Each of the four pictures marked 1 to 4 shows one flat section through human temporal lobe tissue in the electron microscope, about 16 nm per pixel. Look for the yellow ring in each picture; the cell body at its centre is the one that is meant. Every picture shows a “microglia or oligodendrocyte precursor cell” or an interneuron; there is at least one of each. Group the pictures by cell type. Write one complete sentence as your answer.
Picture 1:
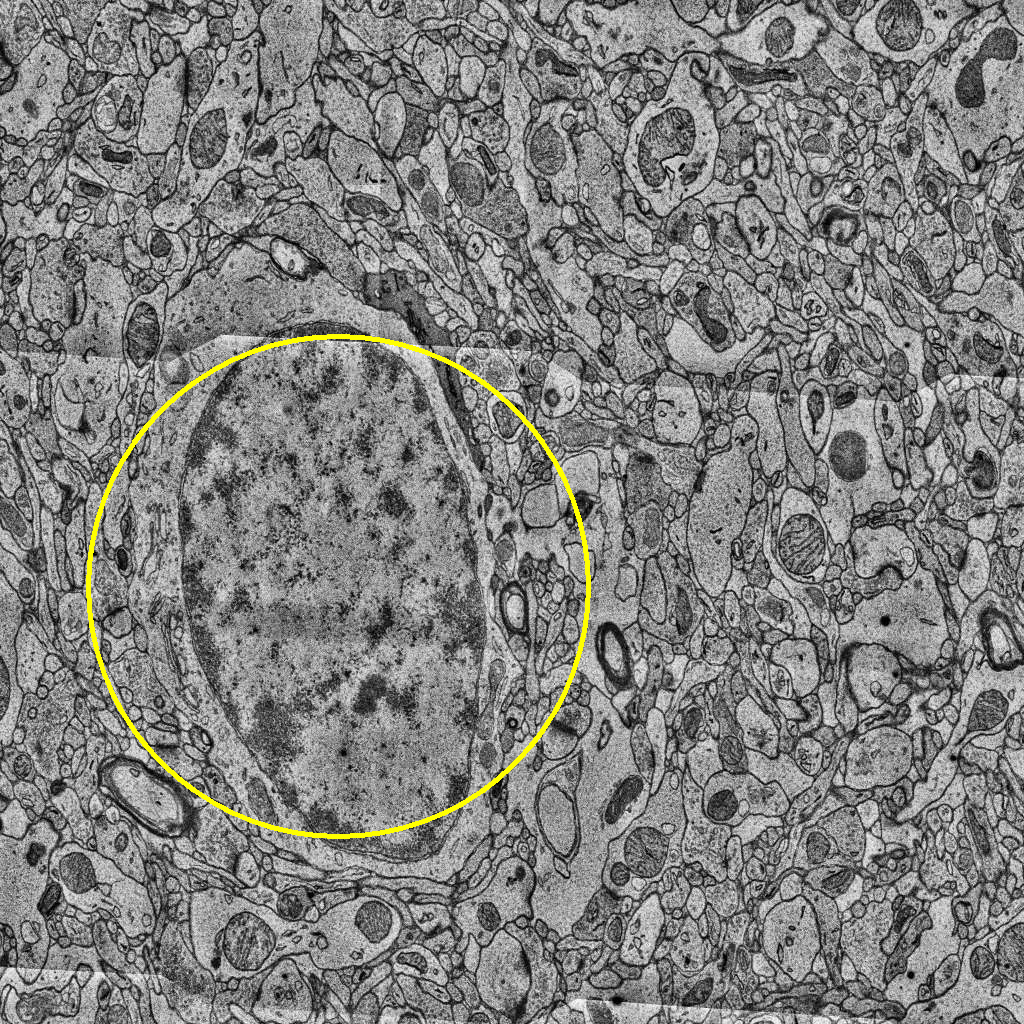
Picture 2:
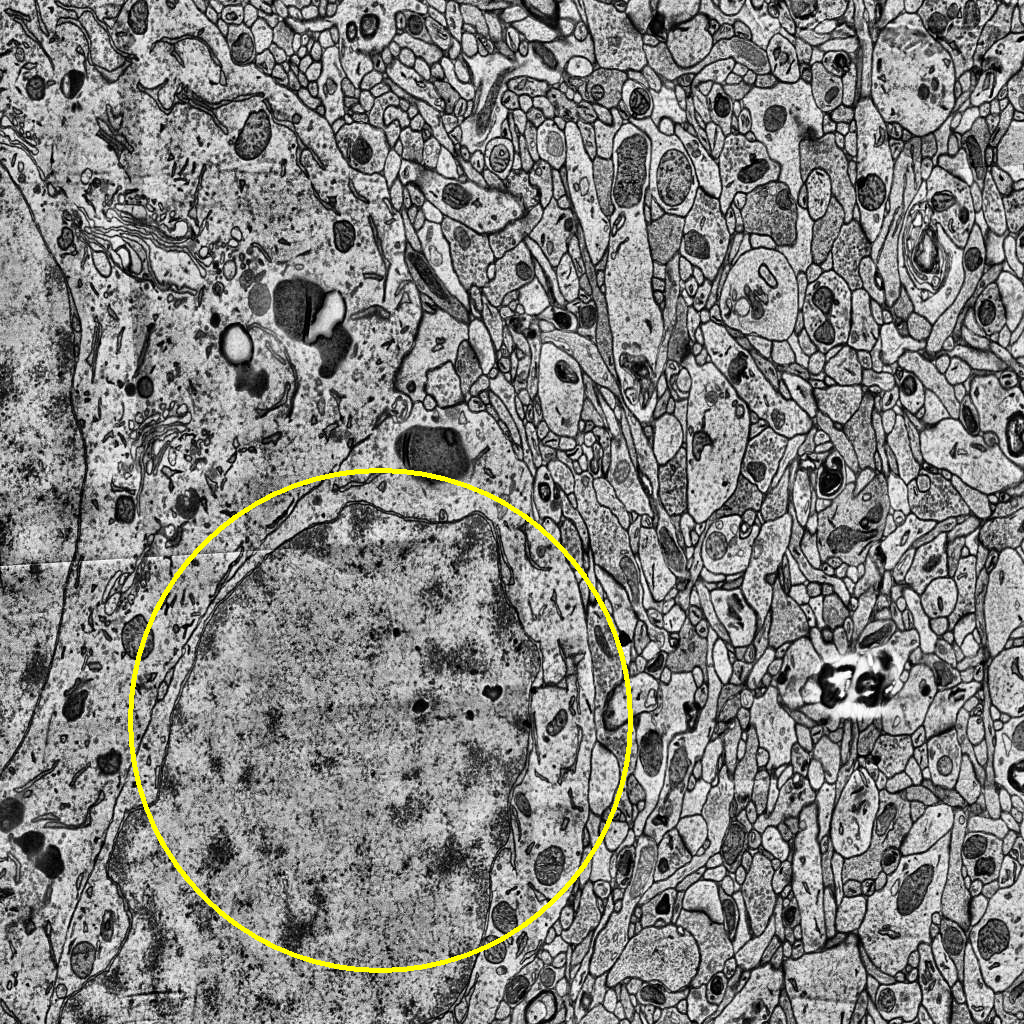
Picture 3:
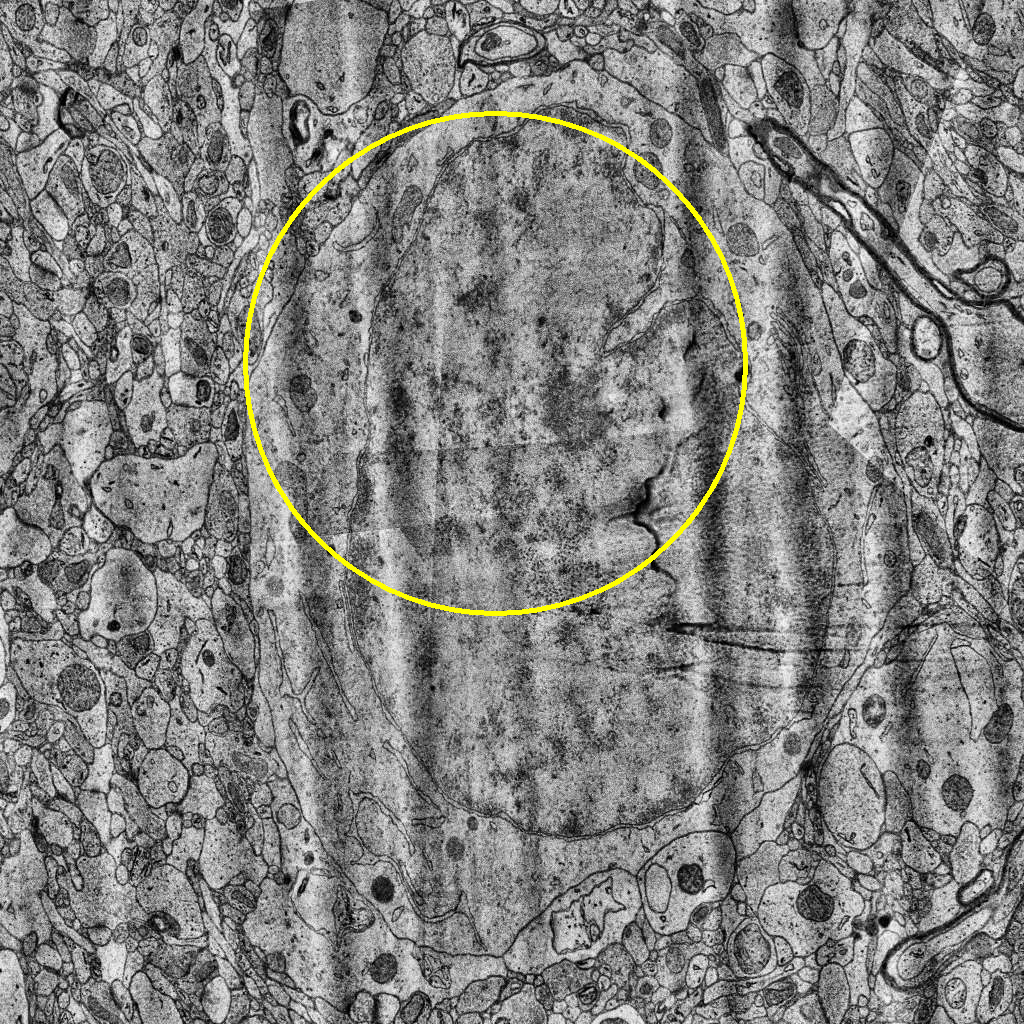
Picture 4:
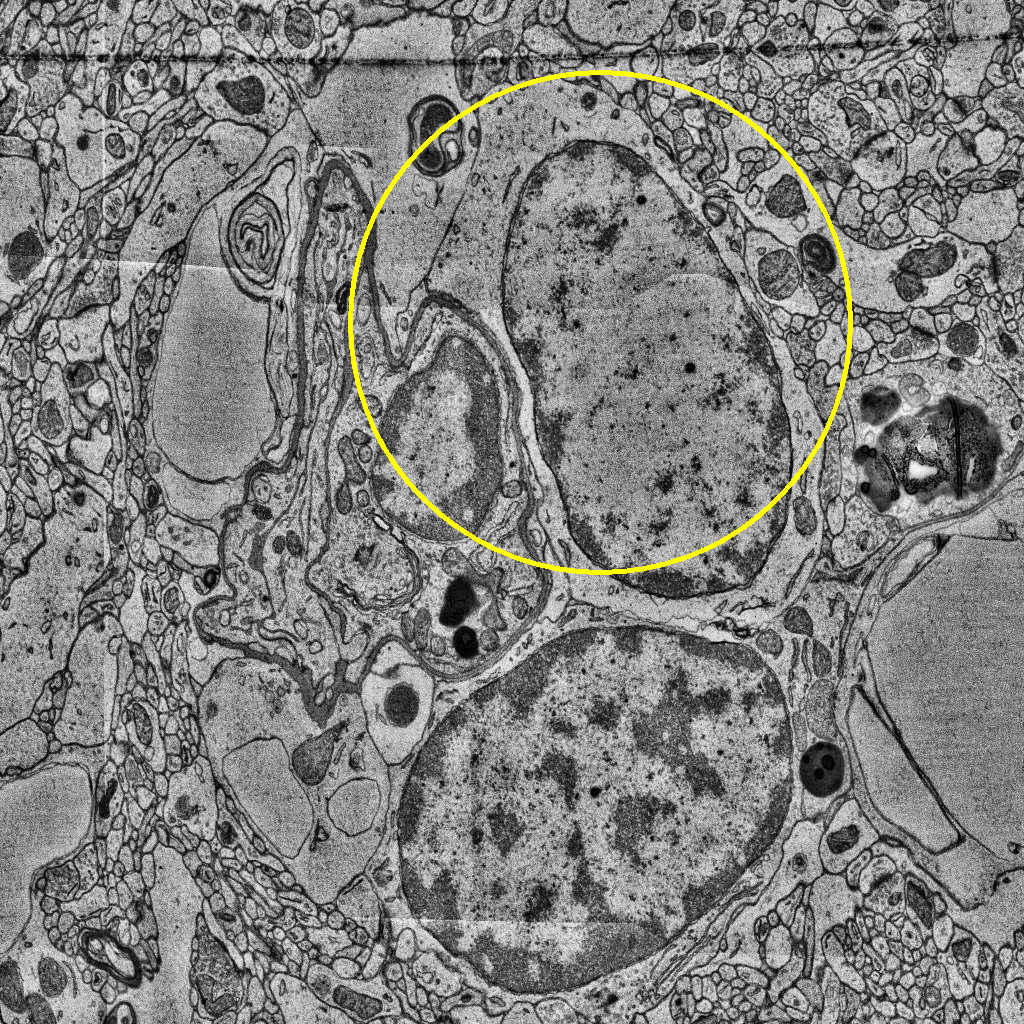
Pictures 1 and 4 show “microglia or oligodendrocyte precursor cells”, and pictures 2 and 3 show interneurons.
